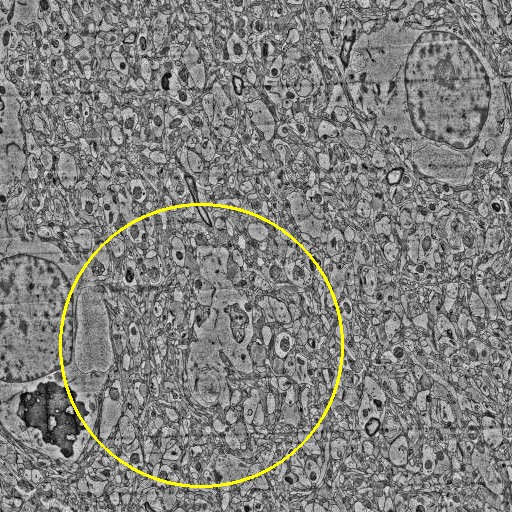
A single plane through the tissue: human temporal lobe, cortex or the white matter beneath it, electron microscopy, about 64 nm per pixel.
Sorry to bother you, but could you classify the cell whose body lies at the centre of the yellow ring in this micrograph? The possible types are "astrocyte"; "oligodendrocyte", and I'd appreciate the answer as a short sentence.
The ringed cell body is that of an astrocyte.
